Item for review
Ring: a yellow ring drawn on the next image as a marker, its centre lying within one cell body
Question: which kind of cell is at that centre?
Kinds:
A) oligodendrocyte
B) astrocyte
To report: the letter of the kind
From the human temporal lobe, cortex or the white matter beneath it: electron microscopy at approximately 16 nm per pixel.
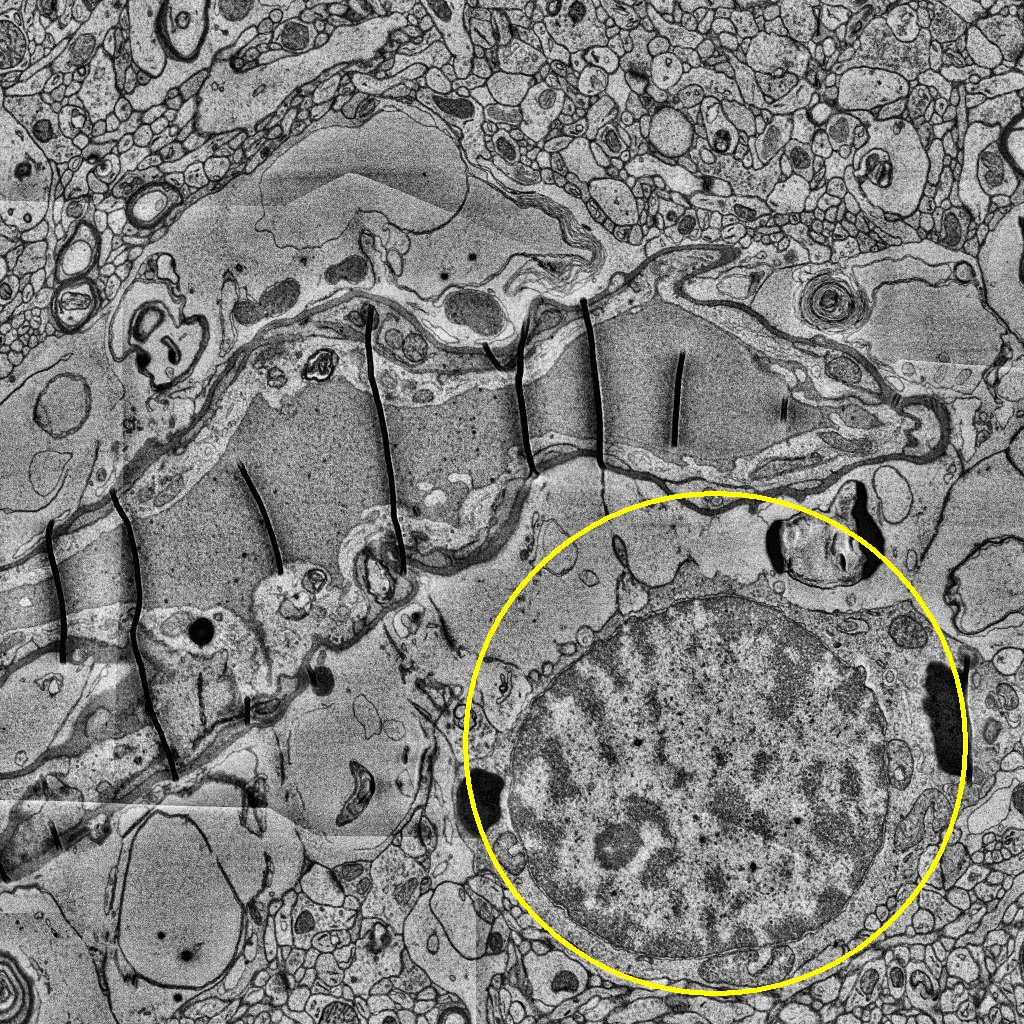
A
